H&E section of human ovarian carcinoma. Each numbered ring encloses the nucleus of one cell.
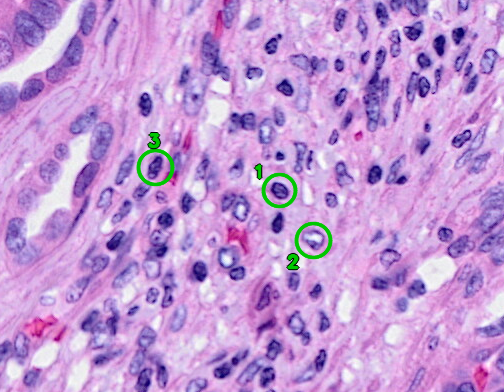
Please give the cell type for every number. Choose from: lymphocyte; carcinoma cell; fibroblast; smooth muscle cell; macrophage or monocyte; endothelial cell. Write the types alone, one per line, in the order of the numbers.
lymphocyte
fibroblast
lymphocyte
